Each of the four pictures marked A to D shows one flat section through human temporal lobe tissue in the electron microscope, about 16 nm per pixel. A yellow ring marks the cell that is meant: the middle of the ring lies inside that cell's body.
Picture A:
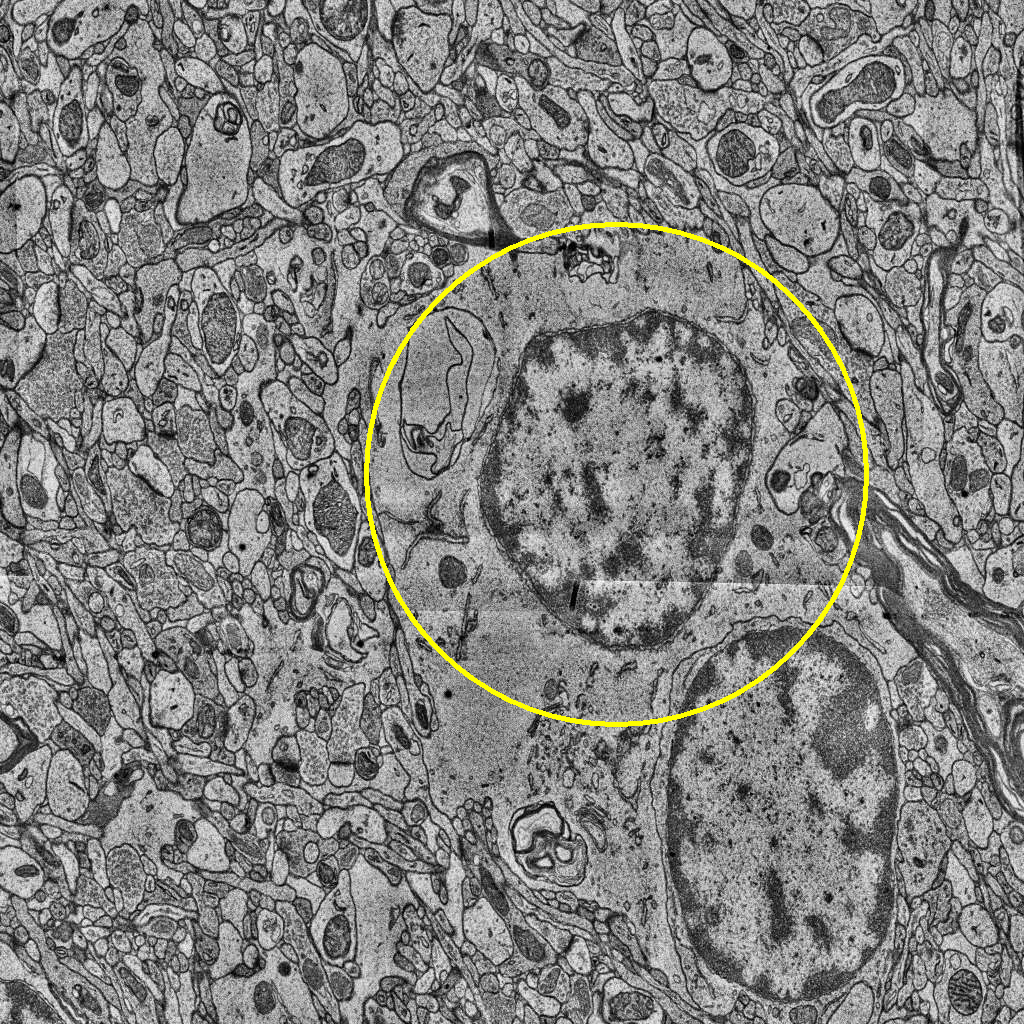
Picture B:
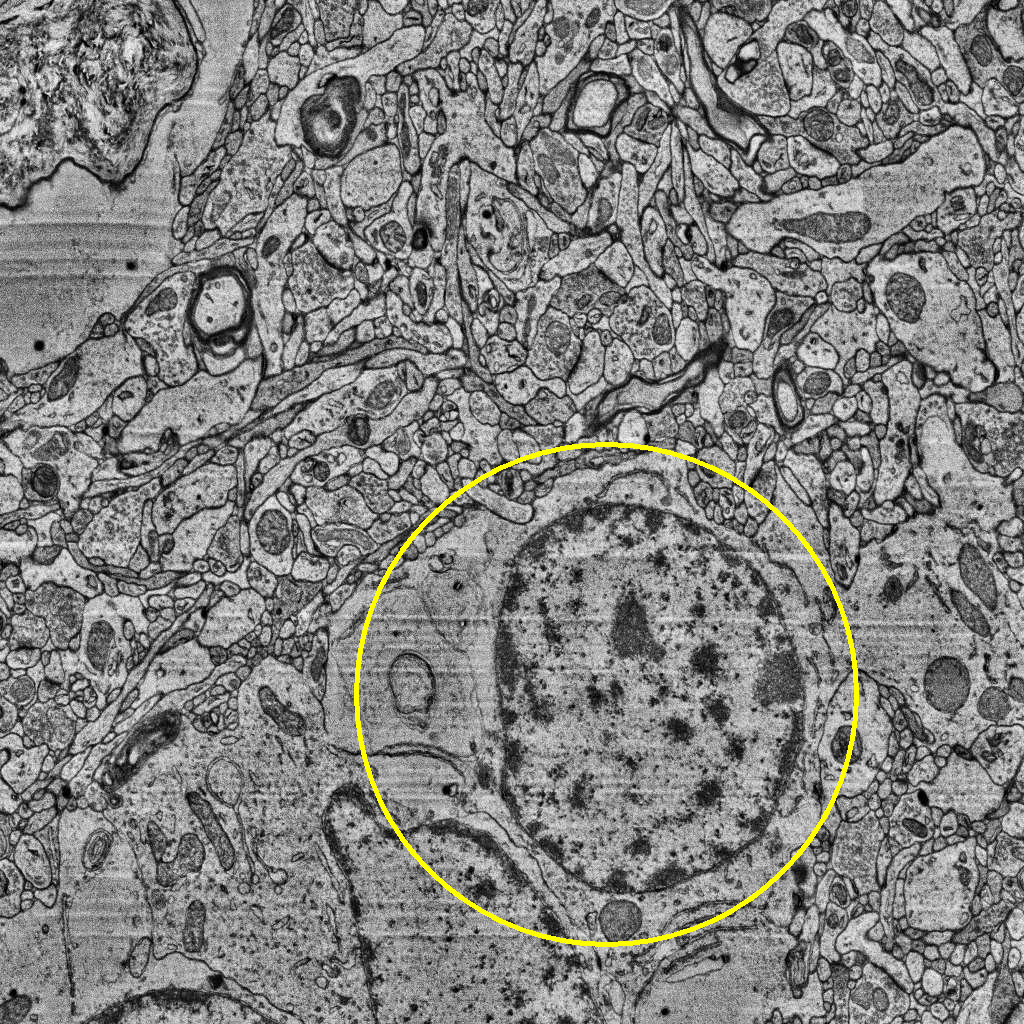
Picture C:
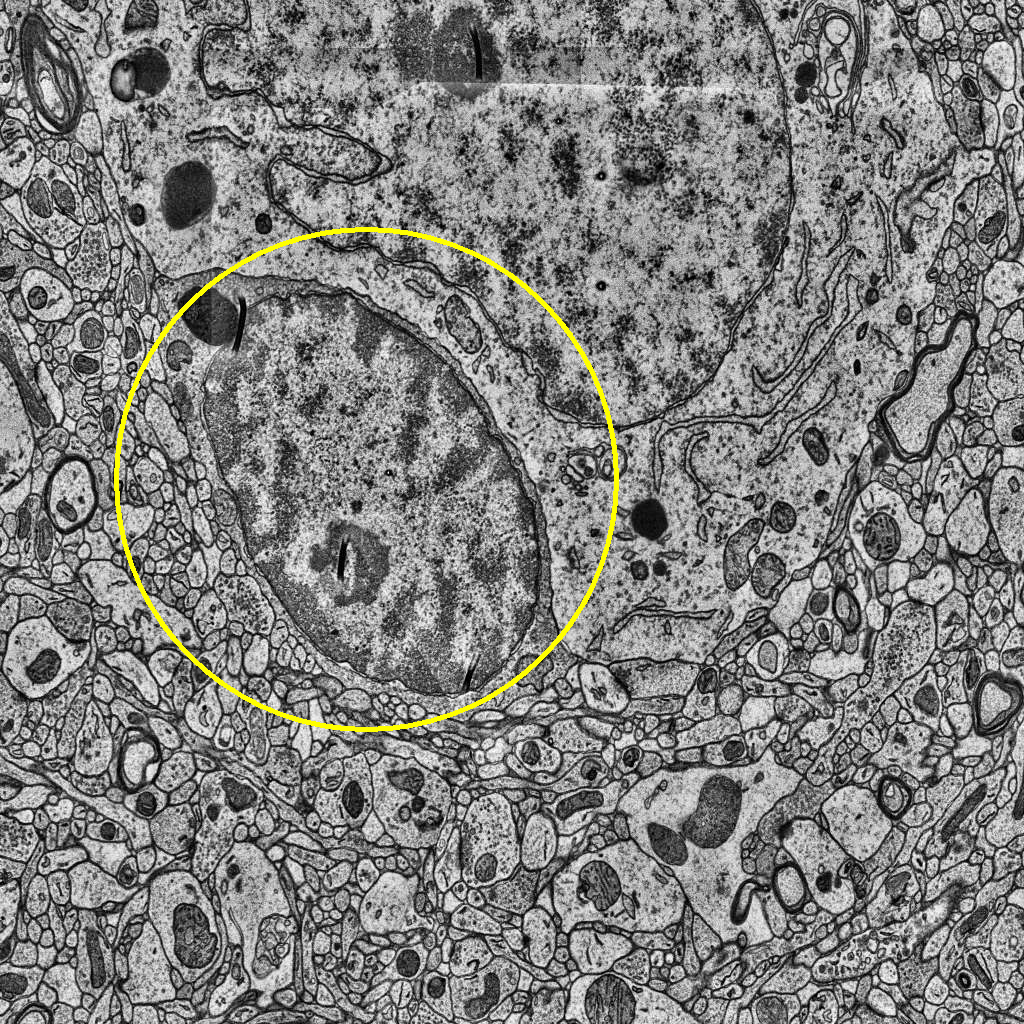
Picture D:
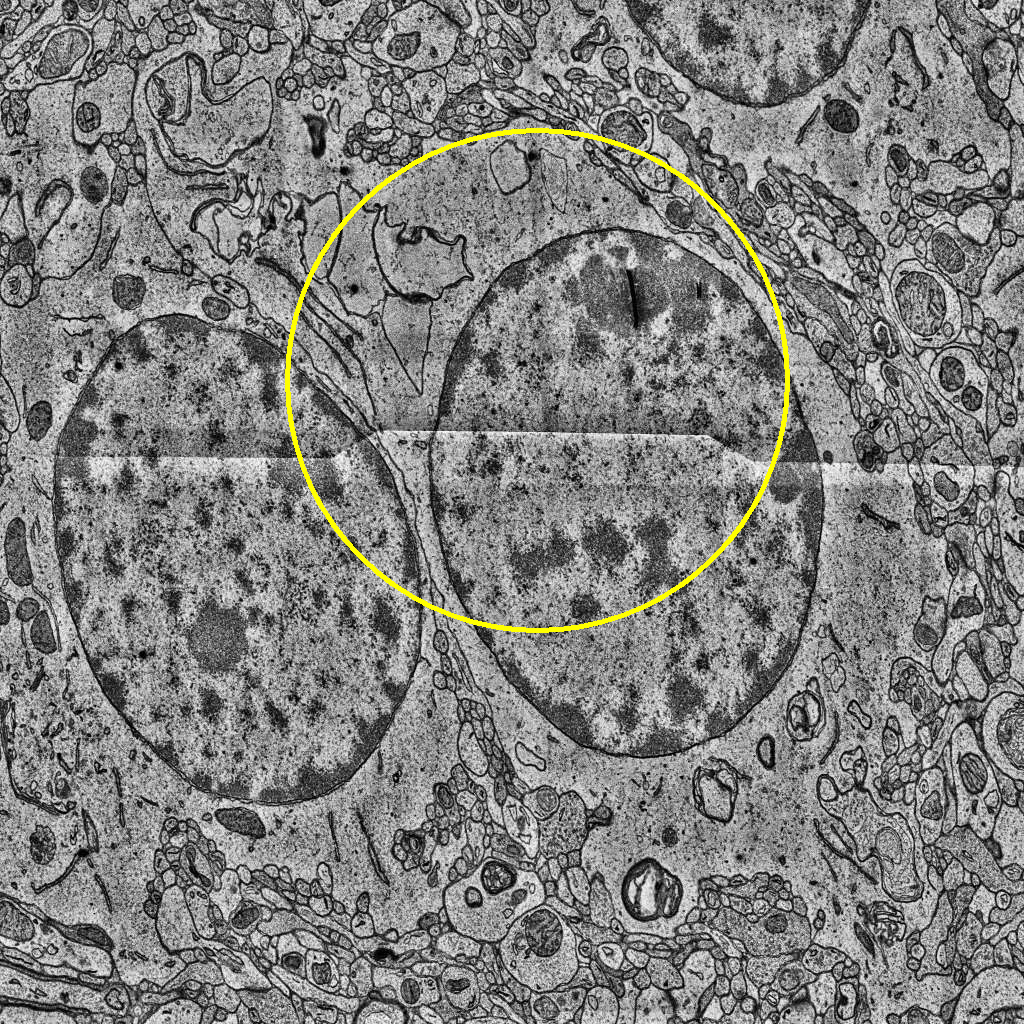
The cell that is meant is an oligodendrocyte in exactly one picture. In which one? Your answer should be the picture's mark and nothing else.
C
